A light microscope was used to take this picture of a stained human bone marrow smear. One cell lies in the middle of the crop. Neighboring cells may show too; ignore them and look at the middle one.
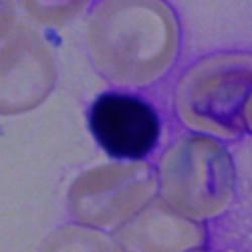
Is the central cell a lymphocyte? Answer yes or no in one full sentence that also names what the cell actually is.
Yes, the cell that occupies the centre is a lymphocyte.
